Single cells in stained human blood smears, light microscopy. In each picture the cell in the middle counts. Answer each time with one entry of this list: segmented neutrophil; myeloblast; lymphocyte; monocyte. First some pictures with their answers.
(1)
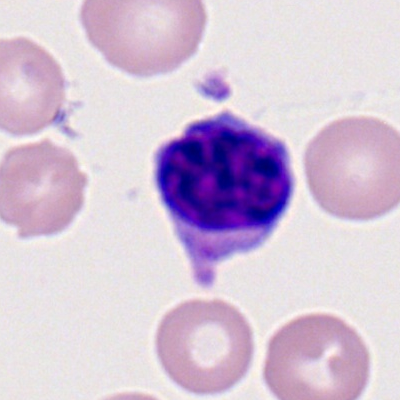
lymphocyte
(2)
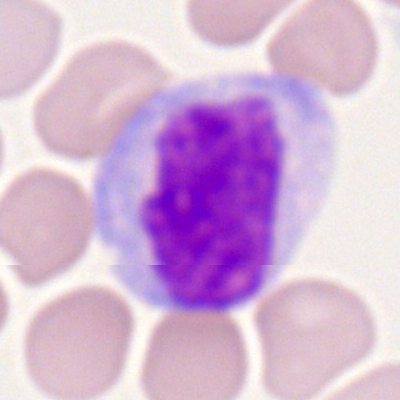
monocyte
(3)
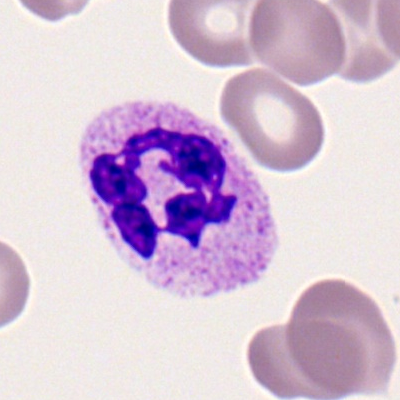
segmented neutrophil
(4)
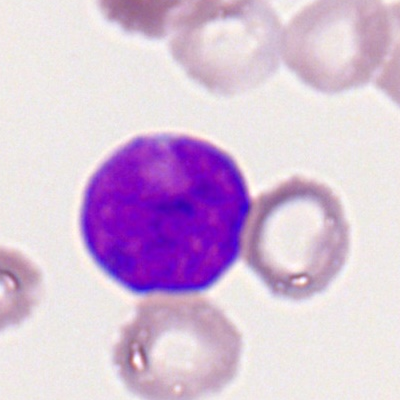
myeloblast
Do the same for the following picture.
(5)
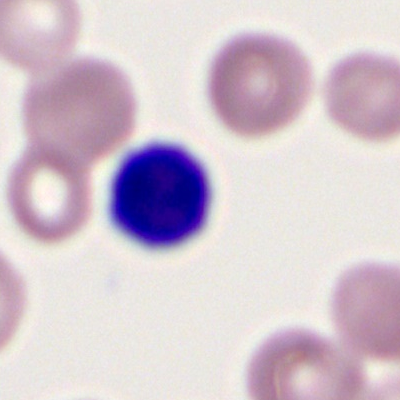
lymphocyte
